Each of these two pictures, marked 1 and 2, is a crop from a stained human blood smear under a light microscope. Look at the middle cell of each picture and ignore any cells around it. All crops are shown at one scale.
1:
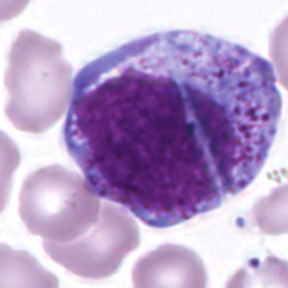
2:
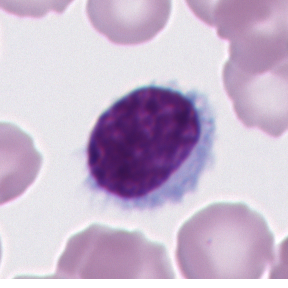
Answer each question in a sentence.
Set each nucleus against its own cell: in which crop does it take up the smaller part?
In crop 1 the nucleus takes up the smaller part of its cell.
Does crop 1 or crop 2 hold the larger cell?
Crop 1 holds the larger cell; it covers about 2.5 times the area of the cell in crop 2.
